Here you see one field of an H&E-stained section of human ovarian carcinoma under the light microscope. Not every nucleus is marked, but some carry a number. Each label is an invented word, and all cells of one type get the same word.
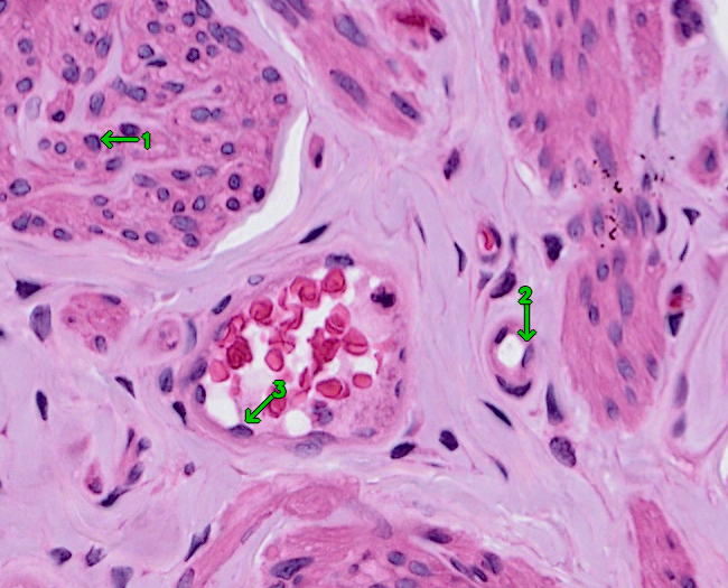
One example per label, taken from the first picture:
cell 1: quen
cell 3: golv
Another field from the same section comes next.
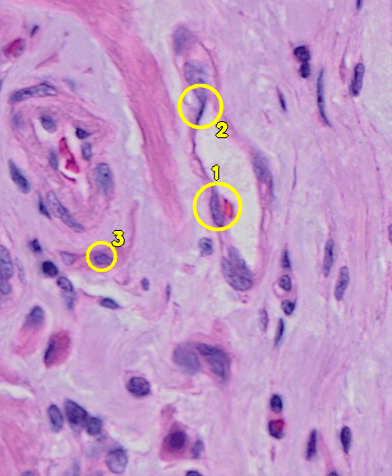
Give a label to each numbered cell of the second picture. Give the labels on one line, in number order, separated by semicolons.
golv; golv; quen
